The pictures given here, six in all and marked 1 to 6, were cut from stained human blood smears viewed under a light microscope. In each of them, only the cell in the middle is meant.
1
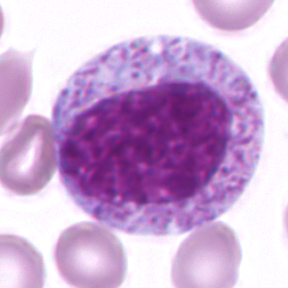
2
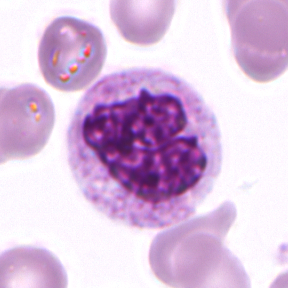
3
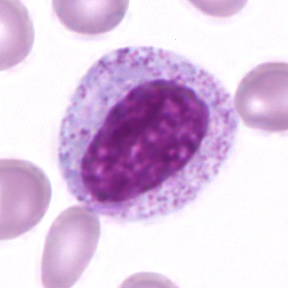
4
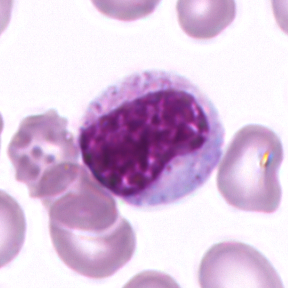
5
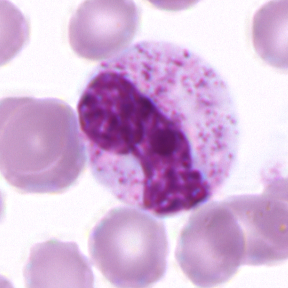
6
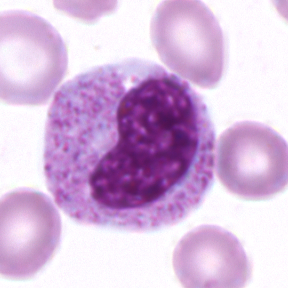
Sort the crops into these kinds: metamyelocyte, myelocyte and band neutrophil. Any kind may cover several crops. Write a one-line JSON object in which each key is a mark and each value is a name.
{"1": "myelocyte", "2": "band neutrophil", "3": "myelocyte", "4": "metamyelocyte", "5": "band neutrophil", "6": "metamyelocyte"}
